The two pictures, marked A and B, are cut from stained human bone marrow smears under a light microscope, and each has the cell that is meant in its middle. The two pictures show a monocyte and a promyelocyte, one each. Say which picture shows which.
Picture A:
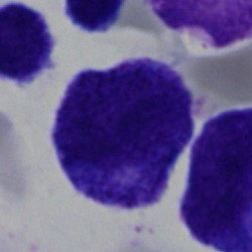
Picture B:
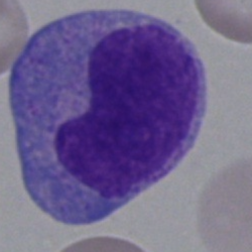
A: promyelocyte
B: monocyte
